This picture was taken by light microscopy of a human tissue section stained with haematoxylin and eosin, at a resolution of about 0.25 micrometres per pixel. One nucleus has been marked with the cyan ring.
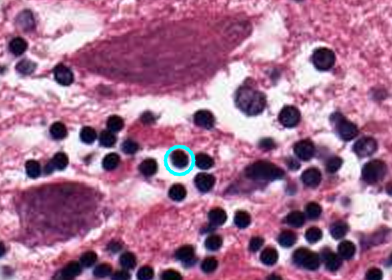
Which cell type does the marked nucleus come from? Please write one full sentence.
What the marked nucleus belongs to is a cerebellar granule cell.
